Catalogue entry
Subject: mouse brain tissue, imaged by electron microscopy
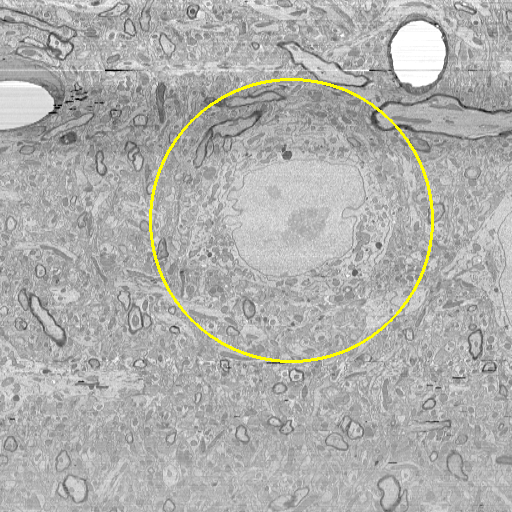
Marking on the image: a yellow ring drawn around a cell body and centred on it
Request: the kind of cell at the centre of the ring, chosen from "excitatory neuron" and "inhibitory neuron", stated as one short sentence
The ring has an inhibitory neuron at its centre.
